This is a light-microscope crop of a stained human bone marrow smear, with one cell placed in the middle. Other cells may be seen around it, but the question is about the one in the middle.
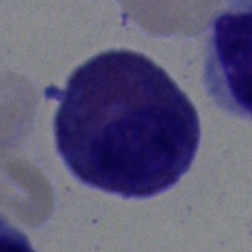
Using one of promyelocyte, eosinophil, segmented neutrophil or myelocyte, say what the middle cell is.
eosinophil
